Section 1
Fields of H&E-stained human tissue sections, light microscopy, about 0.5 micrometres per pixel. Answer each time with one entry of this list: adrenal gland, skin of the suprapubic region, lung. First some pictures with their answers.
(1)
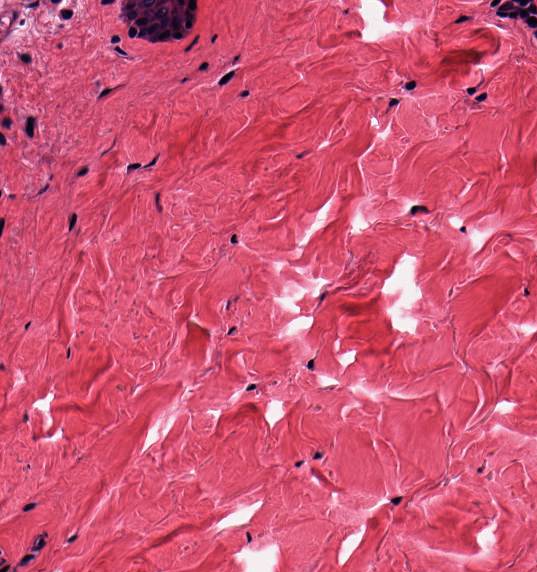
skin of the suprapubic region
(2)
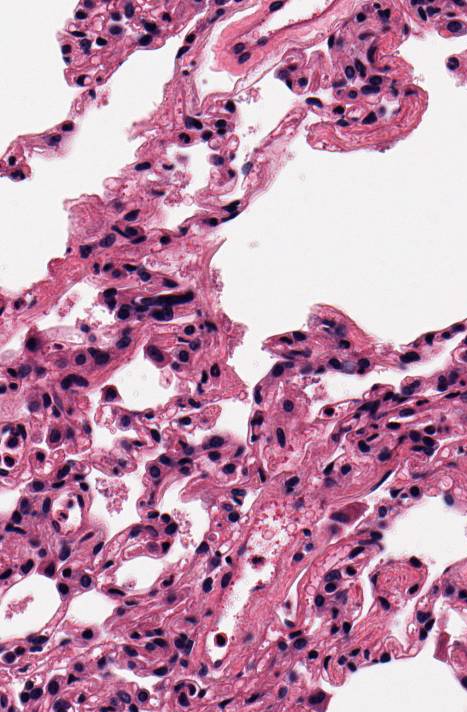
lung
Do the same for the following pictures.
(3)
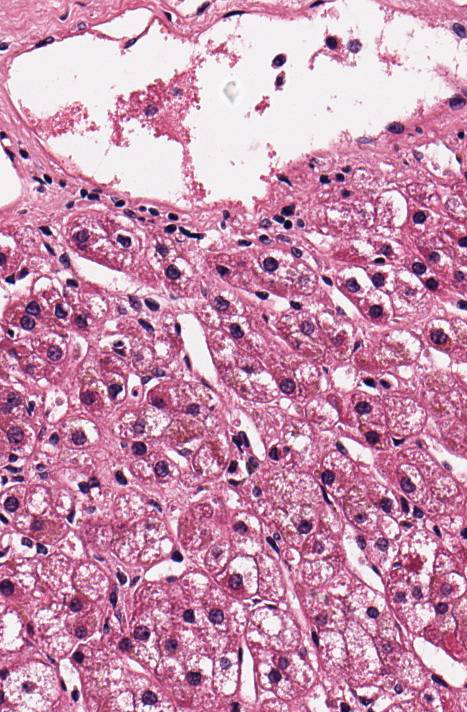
adrenal gland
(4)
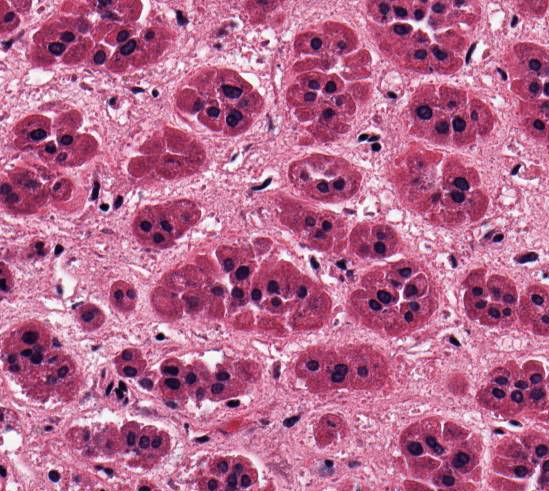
adrenal gland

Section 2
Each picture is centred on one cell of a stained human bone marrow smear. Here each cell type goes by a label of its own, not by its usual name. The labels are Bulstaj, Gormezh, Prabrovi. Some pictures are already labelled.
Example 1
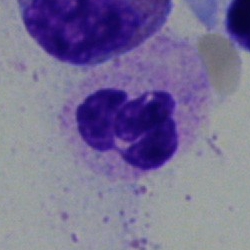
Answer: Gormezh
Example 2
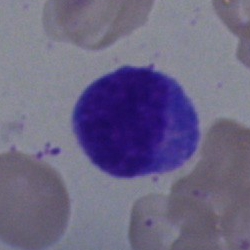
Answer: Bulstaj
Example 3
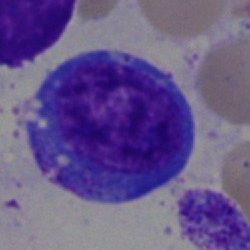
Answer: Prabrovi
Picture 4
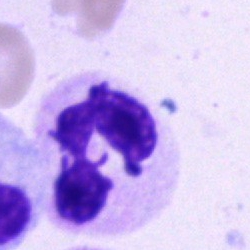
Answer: Gormezh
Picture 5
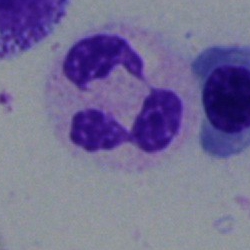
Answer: Gormezh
